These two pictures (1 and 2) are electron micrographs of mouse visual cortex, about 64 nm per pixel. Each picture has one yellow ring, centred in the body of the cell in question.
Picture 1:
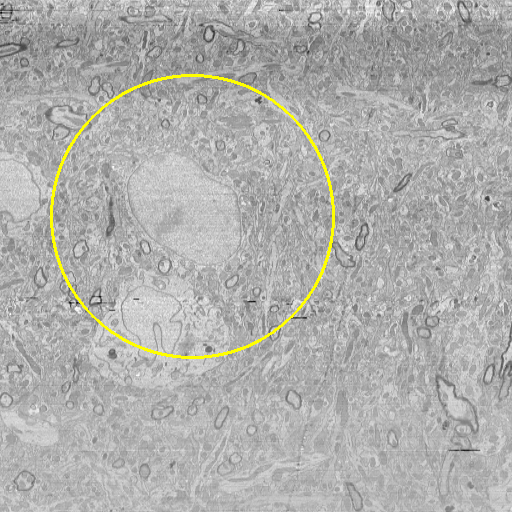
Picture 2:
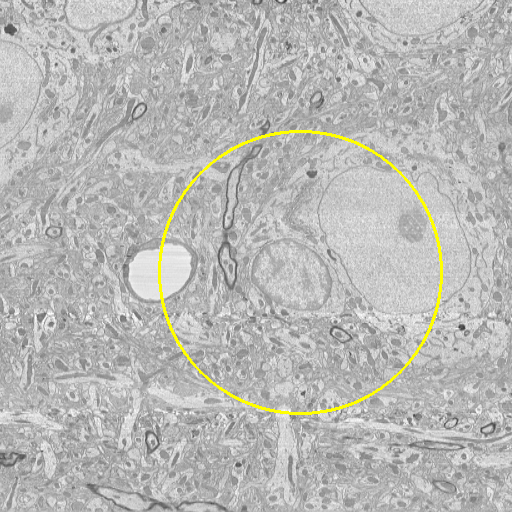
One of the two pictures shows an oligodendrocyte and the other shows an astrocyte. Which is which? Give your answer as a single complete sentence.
The cell in picture 1 is an astrocyte, and the one in picture 2 is an oligodendrocyte.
